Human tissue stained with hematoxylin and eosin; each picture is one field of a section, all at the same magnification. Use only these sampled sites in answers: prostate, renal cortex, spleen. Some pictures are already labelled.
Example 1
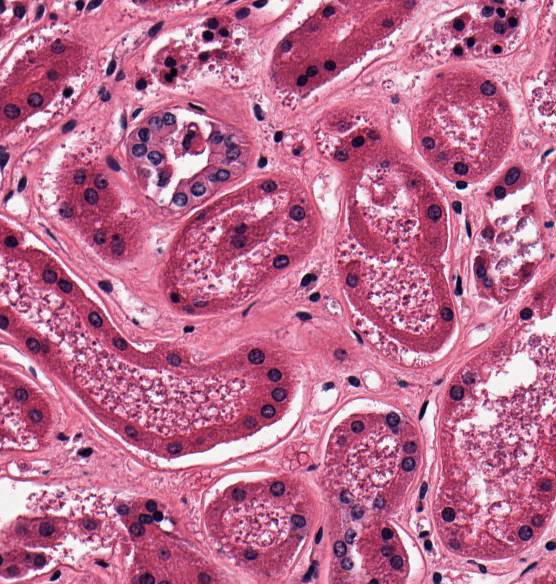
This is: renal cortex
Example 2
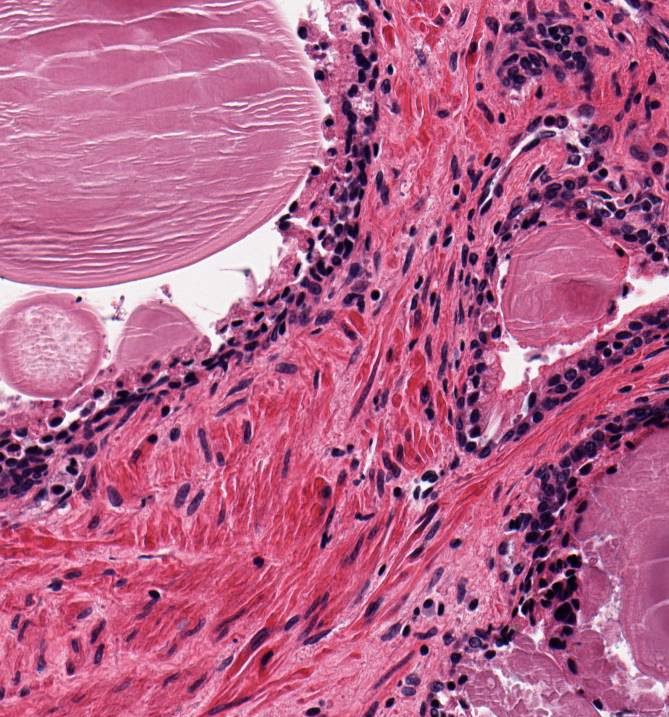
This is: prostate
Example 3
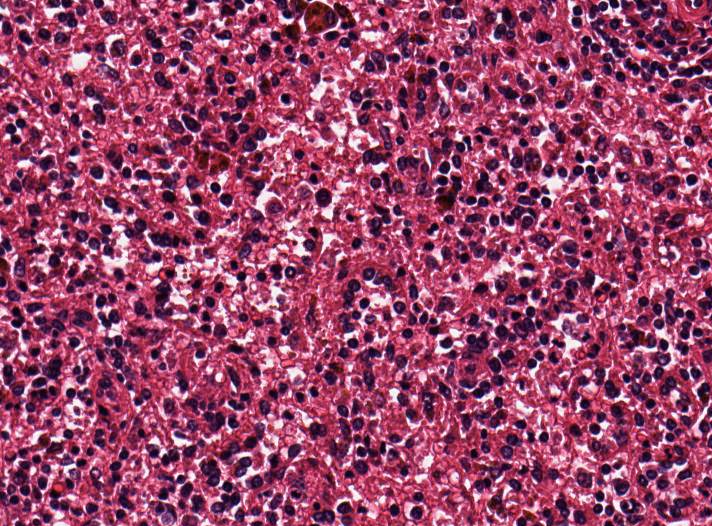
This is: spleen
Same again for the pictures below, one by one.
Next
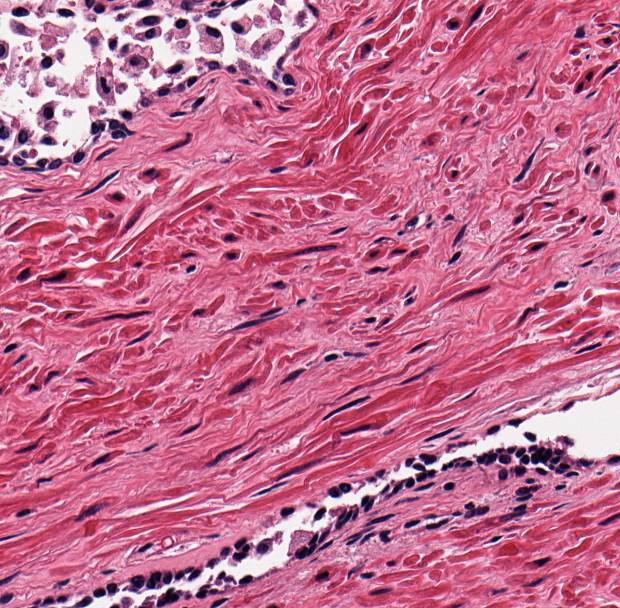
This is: prostate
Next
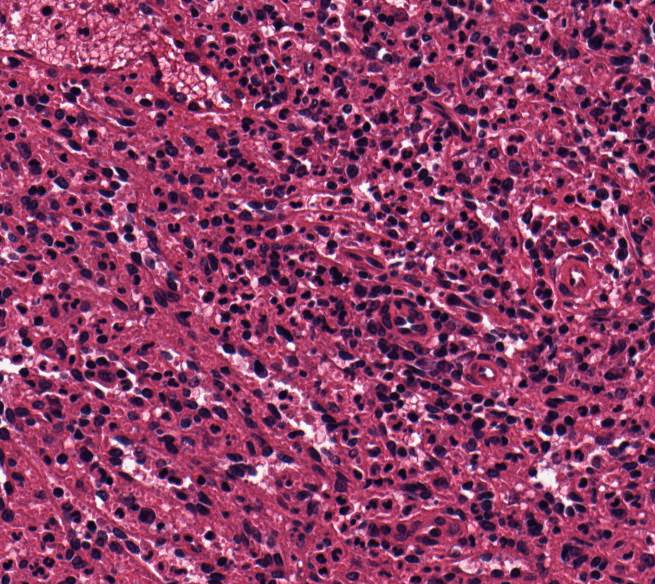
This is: spleen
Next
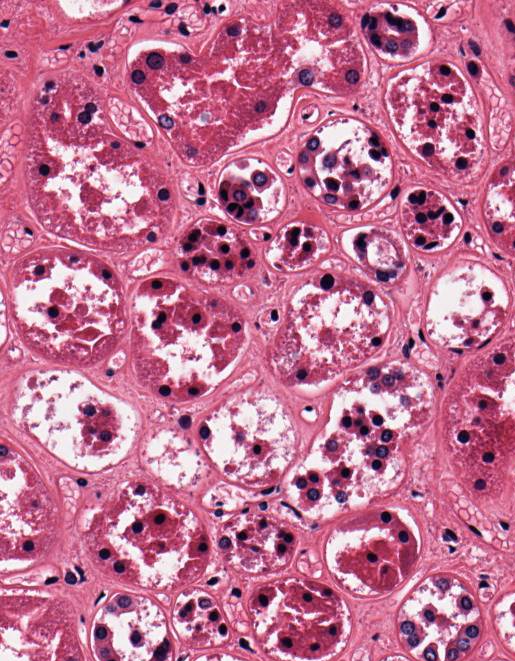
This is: renal cortex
